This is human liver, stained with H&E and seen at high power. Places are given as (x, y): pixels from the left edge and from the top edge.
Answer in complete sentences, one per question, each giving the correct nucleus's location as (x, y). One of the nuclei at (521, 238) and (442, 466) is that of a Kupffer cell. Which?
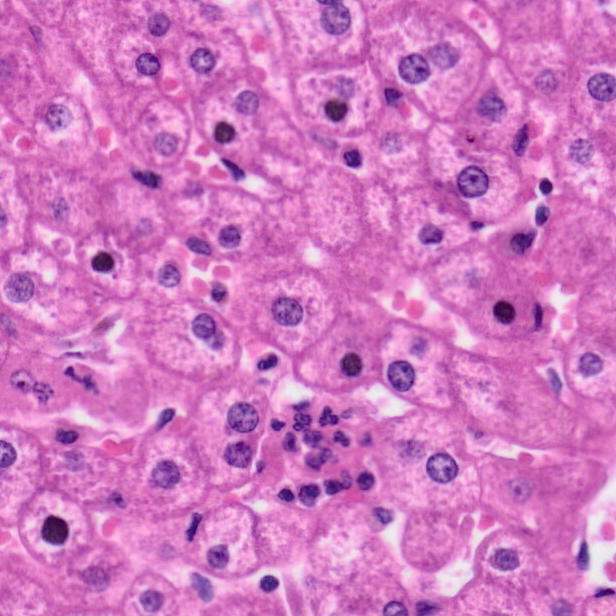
That would be the nucleus at (521, 238); it belongs to a Kupffer cell.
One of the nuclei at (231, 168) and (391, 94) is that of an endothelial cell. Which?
Of the two options, the nucleus at (231, 168) is the one that belongs to an endothelial cell.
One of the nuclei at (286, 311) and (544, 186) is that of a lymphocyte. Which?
Rather than the other nucleus, the one at (544, 186) belongs to a lymphocyte.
